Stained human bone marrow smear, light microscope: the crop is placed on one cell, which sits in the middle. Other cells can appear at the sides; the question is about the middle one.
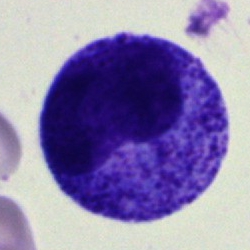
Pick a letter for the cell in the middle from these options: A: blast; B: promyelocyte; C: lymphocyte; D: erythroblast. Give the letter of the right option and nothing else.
B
